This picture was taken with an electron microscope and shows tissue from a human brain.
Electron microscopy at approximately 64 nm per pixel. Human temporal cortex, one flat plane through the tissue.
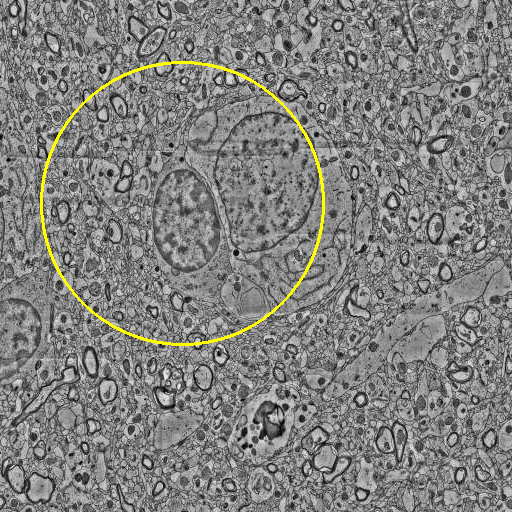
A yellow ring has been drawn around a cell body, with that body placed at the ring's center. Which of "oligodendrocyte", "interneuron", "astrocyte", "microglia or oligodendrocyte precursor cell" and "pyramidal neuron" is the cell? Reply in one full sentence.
In this picture, an oligodendrocyte is the cell at the center of the yellow ring.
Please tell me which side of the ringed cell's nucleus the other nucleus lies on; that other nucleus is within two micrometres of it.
The other one is to the upper right of it.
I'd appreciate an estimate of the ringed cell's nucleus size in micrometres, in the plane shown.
Roughly 6 by 4 micrometers, clearly longer than it is wide in this plane.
